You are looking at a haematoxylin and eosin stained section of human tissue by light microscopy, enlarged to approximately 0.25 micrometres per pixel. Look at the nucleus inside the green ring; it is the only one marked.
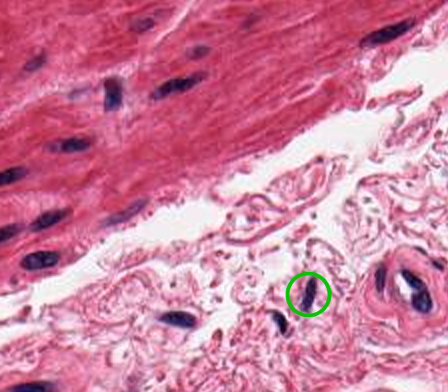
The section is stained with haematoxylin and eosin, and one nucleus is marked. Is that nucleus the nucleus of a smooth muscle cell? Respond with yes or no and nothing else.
no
